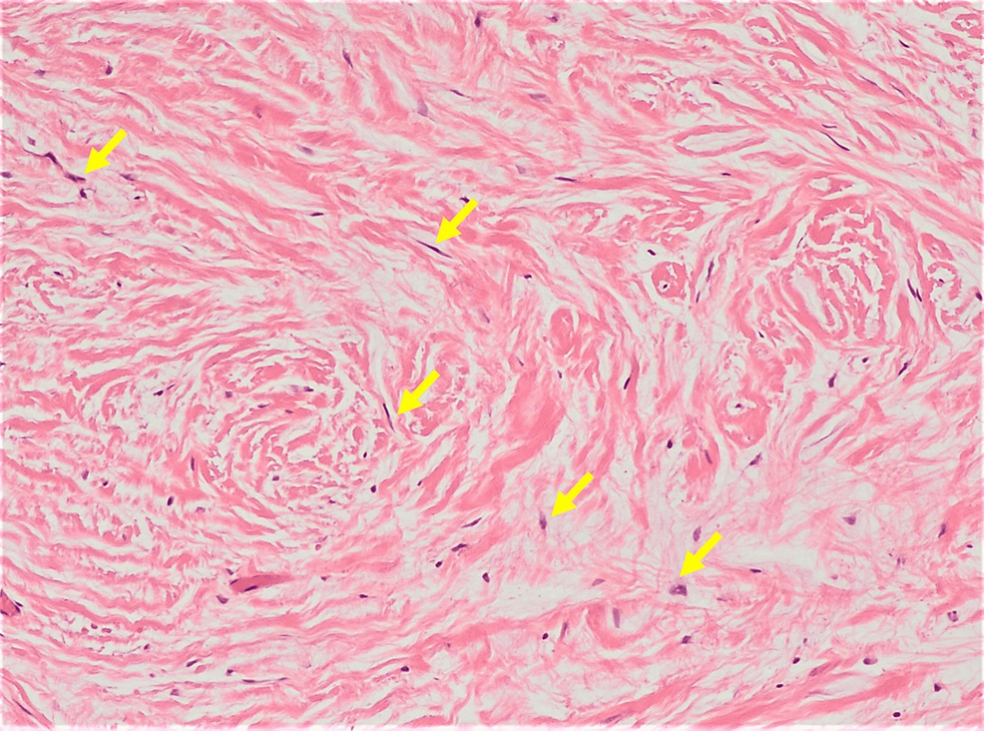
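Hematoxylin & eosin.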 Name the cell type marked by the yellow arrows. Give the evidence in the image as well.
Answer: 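Fibroblasts. Thin, elongated dark nuclei lie singly among wavy pink collagen bundles. The cells are sparse and widely spaced within the fibrous stroma. Each marked cell has a single nucleus without atypia.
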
